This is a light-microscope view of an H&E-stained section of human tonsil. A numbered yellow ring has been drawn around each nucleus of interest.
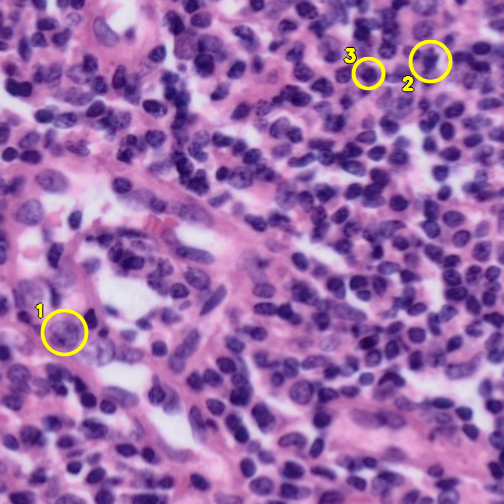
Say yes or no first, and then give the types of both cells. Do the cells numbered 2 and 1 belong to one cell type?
No, cell 2 is a small lymphocyte and cell 1 is an endothelial cell.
